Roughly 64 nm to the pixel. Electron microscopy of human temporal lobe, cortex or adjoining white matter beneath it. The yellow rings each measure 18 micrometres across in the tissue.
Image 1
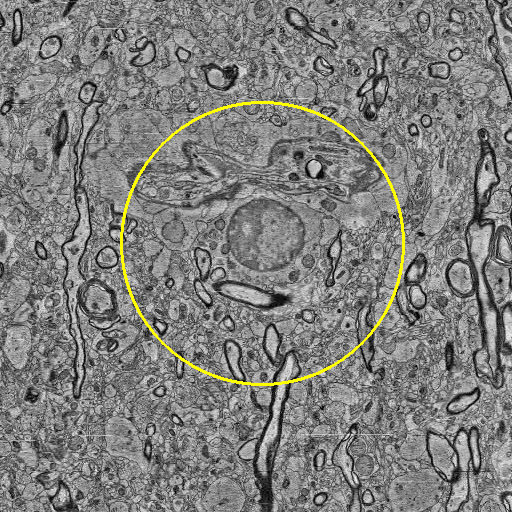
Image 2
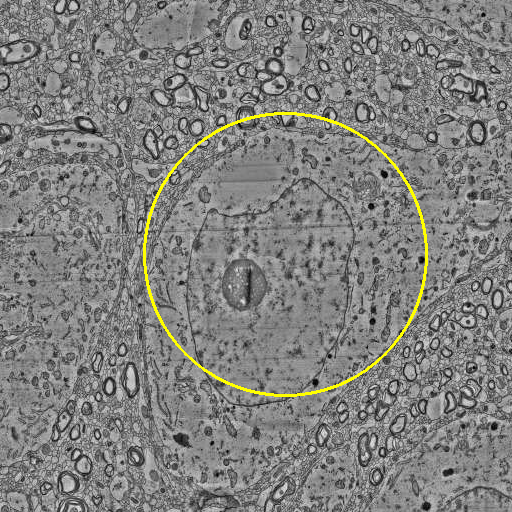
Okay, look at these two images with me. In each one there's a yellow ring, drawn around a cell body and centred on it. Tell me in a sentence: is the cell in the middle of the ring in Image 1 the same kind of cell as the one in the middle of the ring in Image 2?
No, they're two kinds of cell.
